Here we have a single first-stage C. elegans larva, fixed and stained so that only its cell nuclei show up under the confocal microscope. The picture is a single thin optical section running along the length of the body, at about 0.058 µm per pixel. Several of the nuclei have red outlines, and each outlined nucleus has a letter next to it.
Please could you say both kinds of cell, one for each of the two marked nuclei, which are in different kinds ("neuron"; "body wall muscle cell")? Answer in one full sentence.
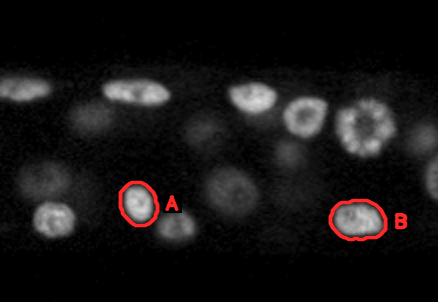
A is in a neuron and B is in a body wall muscle cell.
